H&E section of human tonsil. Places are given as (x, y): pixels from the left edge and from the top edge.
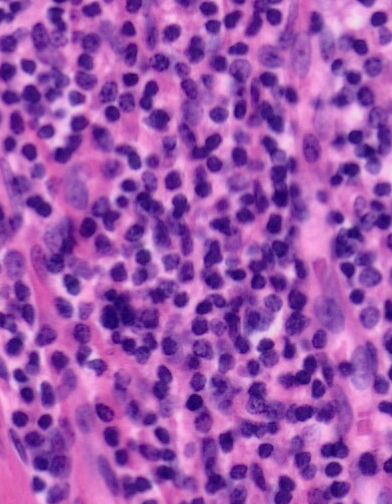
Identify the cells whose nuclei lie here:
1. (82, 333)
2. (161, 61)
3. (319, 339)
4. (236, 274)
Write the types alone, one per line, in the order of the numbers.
plasma cell
plasma cell
endothelial cell
small lymphocyte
